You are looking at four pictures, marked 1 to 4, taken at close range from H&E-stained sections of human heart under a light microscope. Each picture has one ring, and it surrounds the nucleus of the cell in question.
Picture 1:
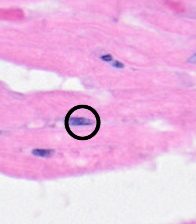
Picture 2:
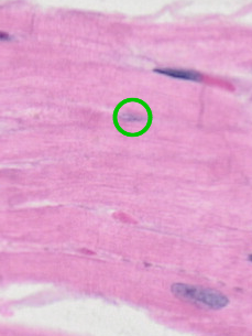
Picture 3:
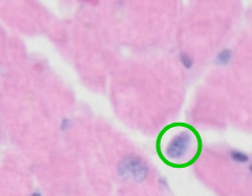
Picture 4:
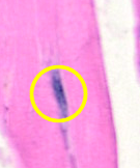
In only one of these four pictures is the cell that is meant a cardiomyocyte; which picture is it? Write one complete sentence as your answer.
The picture with the cardiomyocyte is 2.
